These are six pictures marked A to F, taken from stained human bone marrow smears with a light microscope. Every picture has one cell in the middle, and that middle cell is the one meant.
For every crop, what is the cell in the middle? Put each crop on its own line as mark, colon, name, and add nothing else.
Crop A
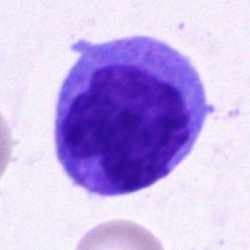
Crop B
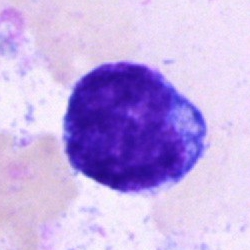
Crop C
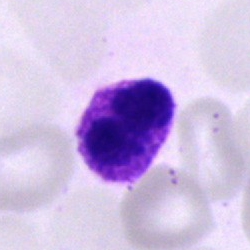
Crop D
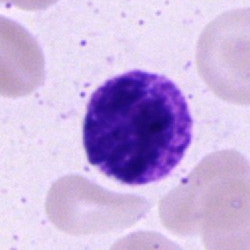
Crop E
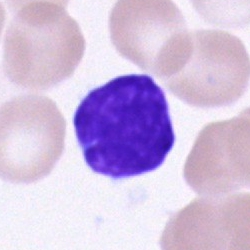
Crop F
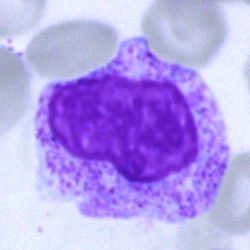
A: monocyte
B: blast
C: basophil
D: basophil
E: lymphocyte
F: myelocyte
